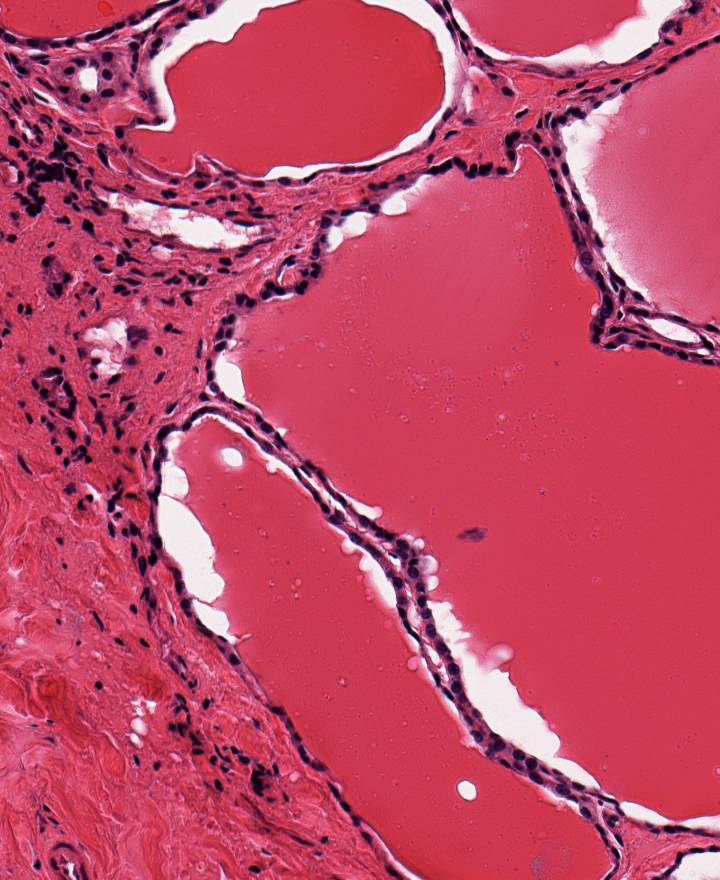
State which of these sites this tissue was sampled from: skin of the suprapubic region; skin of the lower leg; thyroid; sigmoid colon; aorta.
thyroid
